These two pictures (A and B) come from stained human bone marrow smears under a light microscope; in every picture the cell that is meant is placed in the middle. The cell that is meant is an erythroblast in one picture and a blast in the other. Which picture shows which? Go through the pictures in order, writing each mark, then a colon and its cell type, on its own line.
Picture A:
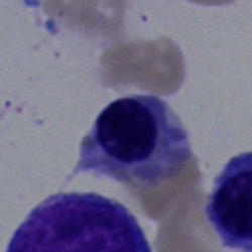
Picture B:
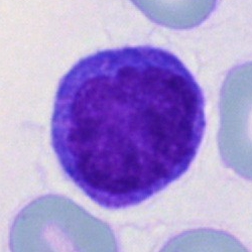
A: erythroblast
B: blast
